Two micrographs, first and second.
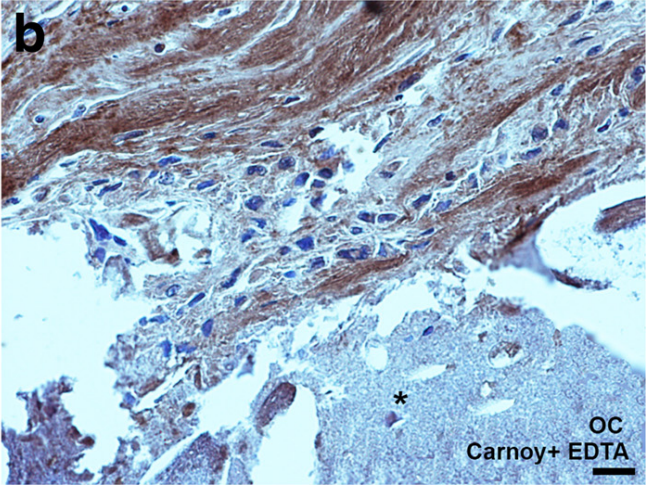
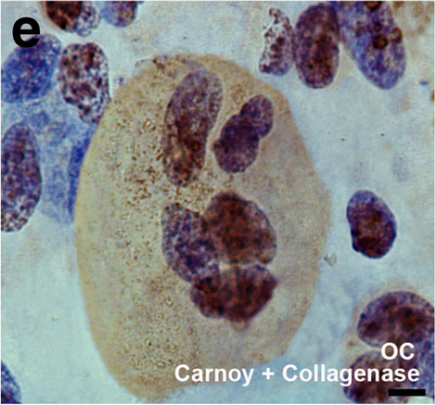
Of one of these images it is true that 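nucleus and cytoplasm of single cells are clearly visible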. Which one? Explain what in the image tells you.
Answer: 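Second image: spread cells with distinct granular nuclei and clearly bounded cytoplasm. First image: small elongated nuclei embedded in fibrous brown-stained tissue, cell borders not discernible. So: the second image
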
